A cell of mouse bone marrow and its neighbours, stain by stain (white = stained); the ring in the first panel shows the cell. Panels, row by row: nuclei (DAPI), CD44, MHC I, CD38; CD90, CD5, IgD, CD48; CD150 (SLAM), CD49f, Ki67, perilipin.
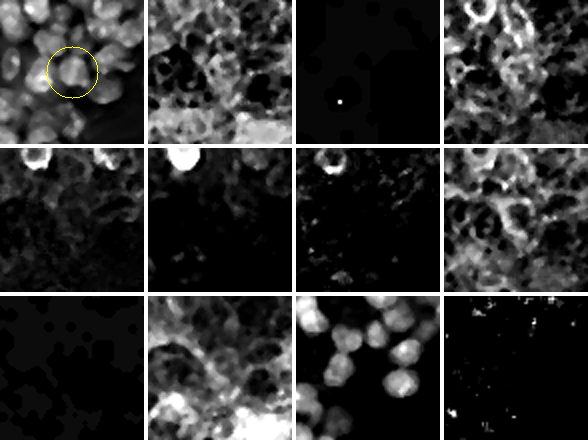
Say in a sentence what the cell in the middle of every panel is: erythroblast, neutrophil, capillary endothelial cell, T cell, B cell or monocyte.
This is a capillary endothelial cell.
